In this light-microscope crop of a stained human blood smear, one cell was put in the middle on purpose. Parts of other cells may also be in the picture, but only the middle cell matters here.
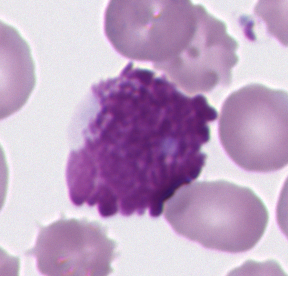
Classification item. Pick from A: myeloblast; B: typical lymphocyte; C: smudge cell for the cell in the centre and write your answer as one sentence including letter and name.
The correct option, C, names the middle cell as a smudge cell.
